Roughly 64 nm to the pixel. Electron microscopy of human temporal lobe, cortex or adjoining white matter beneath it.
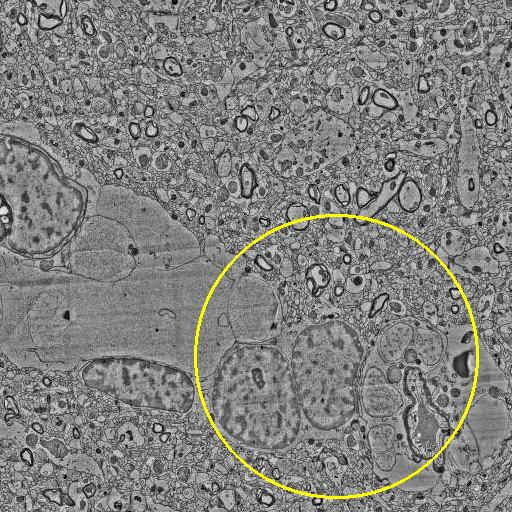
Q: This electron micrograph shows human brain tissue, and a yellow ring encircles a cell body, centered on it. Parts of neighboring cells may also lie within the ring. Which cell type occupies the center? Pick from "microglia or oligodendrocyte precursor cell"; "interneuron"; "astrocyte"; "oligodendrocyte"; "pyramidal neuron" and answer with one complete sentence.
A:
What sits at the ring's center in this micrograph is an oligodendrocyte, among those choices.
